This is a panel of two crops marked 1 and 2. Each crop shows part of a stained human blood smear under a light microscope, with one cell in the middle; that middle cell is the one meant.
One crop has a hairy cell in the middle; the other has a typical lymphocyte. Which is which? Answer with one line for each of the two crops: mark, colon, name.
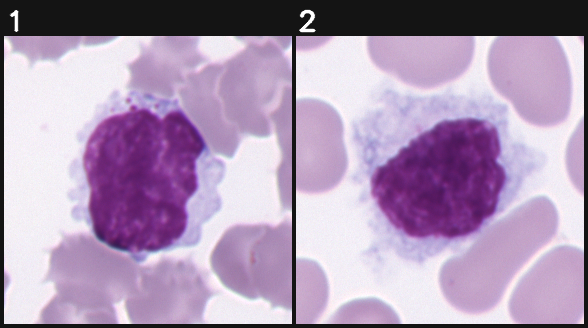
1: typical lymphocyte
2: hairy cell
